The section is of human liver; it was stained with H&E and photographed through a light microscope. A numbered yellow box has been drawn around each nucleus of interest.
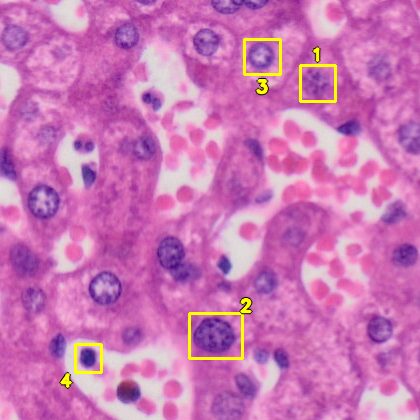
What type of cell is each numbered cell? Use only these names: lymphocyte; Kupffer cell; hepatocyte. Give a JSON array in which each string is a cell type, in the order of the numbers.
["hepatocyte", "hepatocyte", "hepatocyte", "lymphocyte"]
